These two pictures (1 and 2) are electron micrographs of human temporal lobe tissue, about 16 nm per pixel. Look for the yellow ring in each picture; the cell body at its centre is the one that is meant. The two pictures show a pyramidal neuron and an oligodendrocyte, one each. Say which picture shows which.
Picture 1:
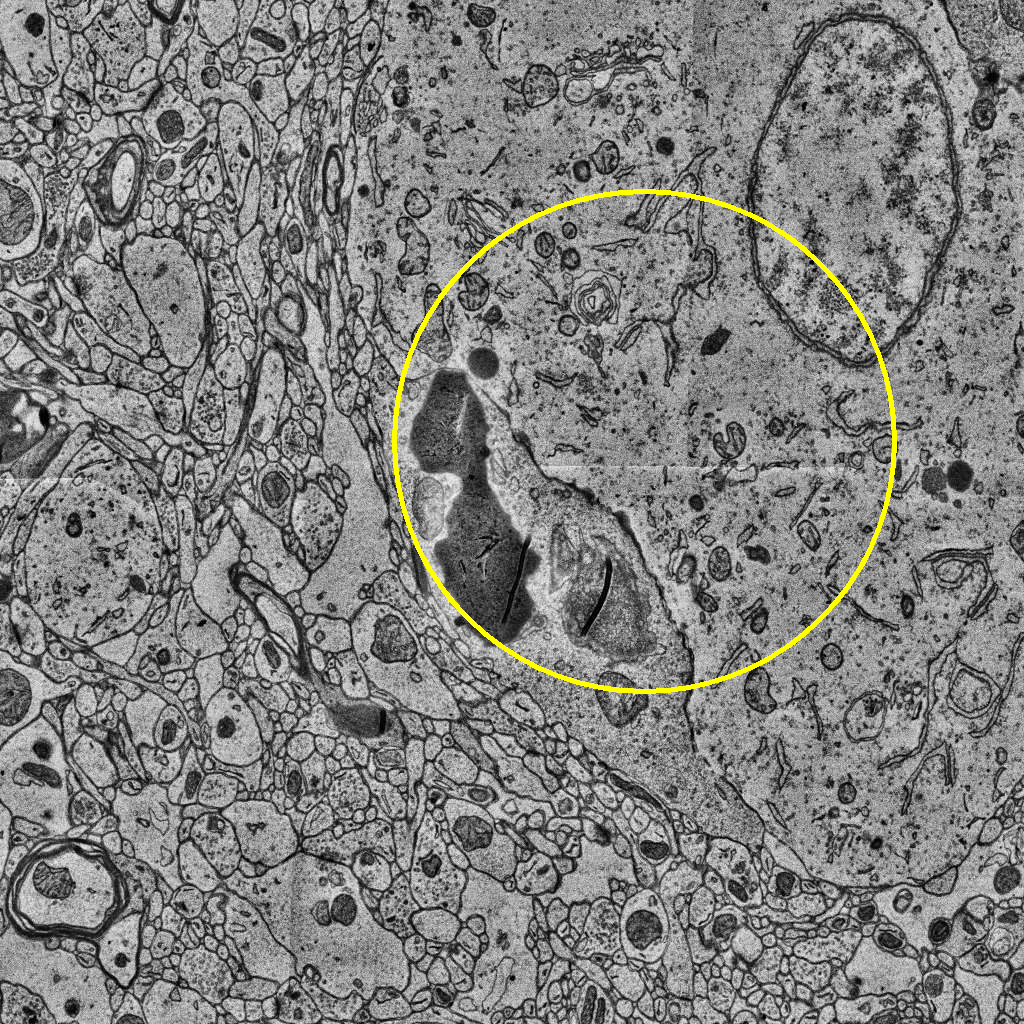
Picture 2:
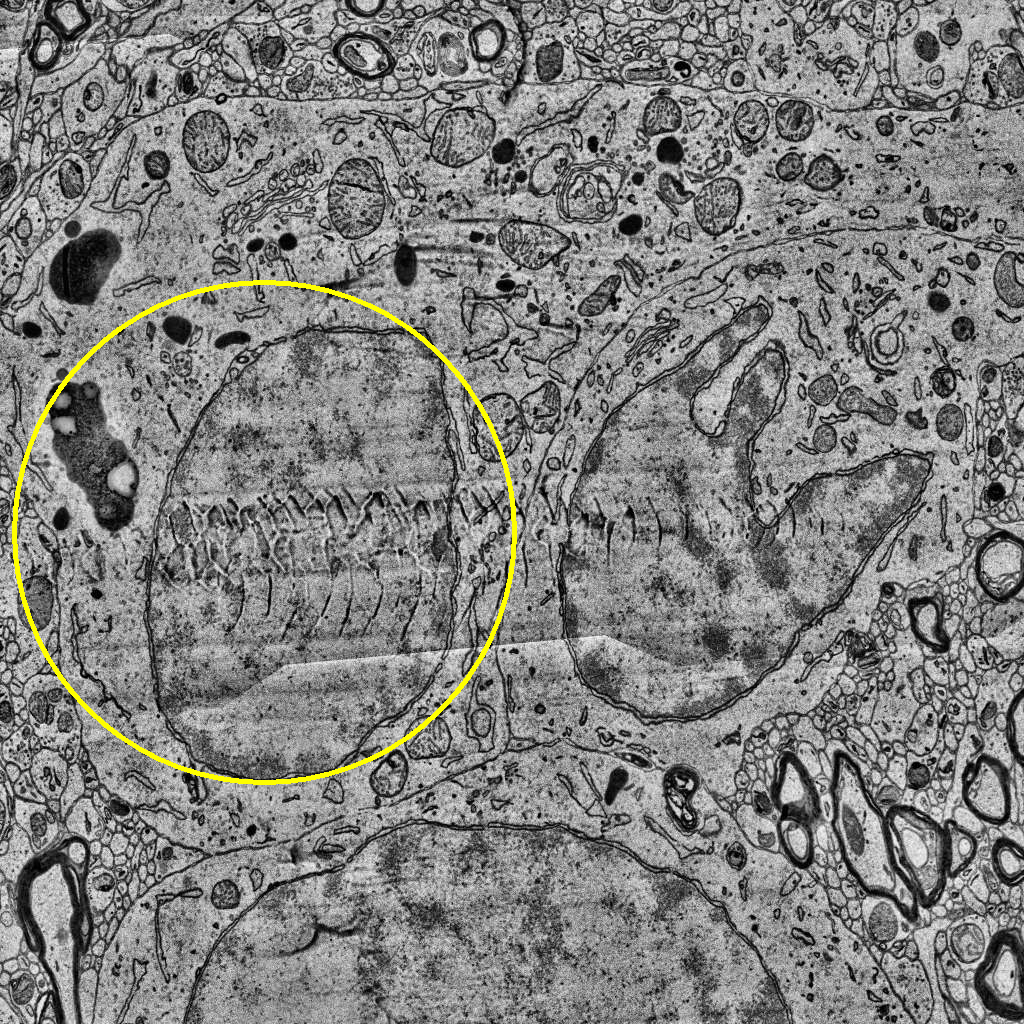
Picture 2 shows a pyramidal neuron, while picture 1 shows an oligodendrocyte.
